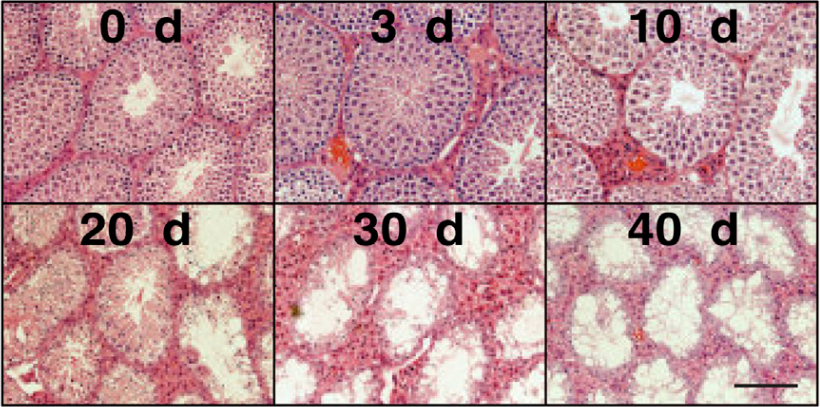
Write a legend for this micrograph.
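Six fields of round tubule cross sections in testis, stained pink and purple. In the first images each tubule is filled by many layers of closely packed cells with purple round nuclei, arranged from the rim toward a narrow central lumen, and the tubules lie close together with pink interstitial tissue between them. In the later images the tubules keep their outline but the cell layers thin out. The walls are lined by only a few cells, and large pale, vacuole-like empty spaces open within them. The tubules look smaller, and the pink interstitium between them is more prominent.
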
